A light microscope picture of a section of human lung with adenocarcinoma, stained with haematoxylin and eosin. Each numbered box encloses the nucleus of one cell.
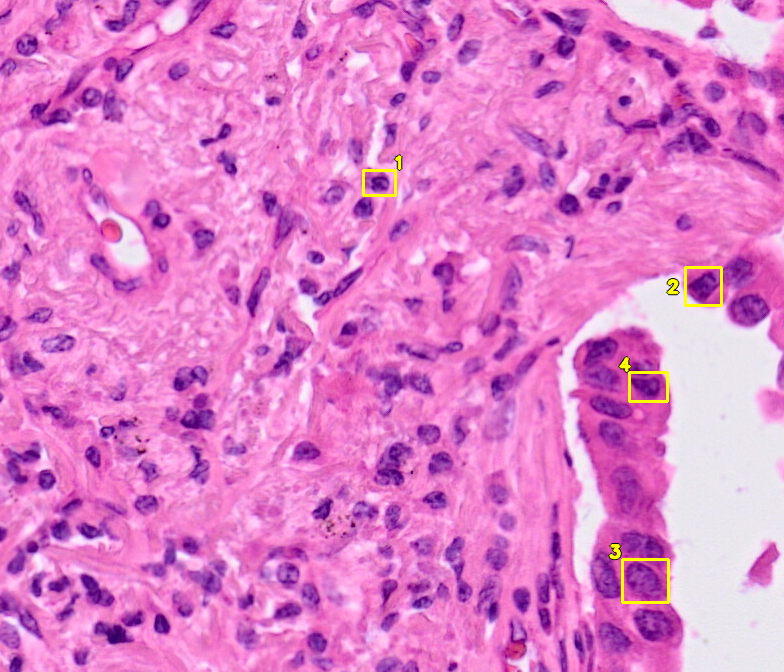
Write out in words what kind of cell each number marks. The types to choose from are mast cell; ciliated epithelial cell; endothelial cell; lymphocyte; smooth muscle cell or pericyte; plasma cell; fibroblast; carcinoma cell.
Cell 1 is a plasma cell. Cells 2, 3 and 4 are carcinoma cells.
